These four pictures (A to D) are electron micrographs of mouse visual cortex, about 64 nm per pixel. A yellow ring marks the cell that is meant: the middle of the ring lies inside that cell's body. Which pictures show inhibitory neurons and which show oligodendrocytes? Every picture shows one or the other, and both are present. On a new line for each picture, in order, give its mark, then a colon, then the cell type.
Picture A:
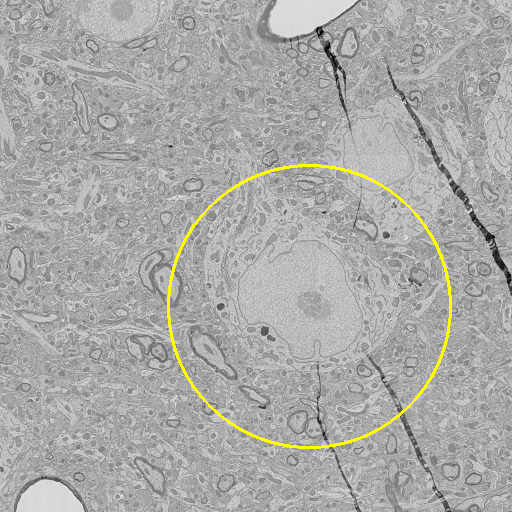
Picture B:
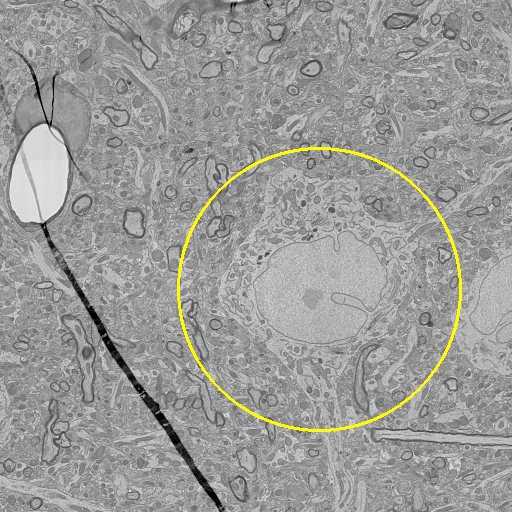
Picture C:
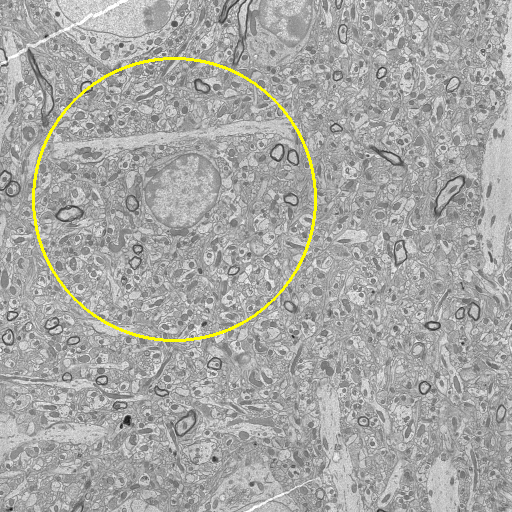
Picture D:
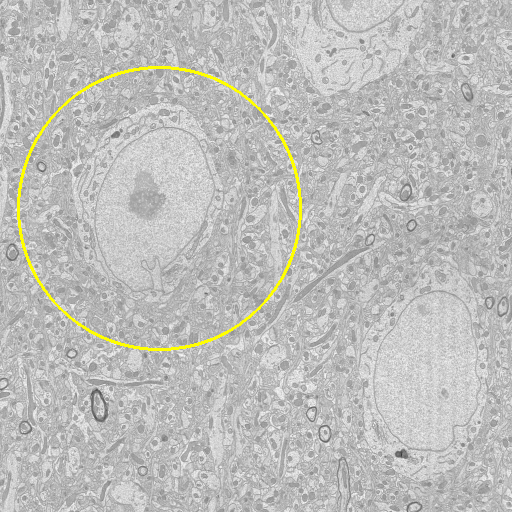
A: inhibitory neuron
B: inhibitory neuron
C: oligodendrocyte
D: inhibitory neuron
